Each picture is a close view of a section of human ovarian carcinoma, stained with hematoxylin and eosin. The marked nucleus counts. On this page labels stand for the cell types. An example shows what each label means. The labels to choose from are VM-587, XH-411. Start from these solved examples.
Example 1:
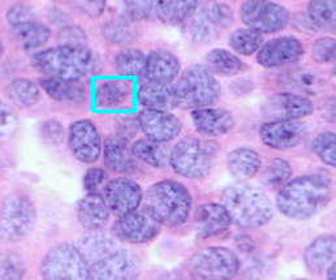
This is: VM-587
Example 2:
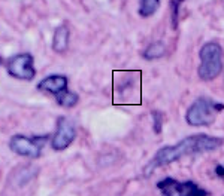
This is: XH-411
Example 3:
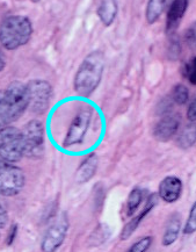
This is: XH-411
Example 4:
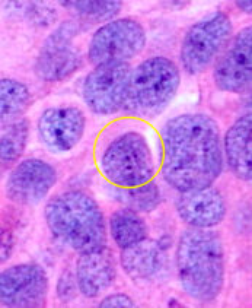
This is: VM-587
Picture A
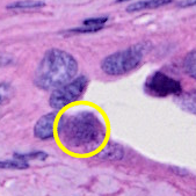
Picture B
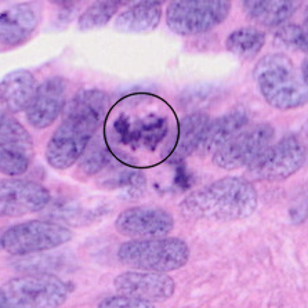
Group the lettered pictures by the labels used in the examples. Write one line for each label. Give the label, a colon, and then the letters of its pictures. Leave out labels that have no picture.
VM-587: A, B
